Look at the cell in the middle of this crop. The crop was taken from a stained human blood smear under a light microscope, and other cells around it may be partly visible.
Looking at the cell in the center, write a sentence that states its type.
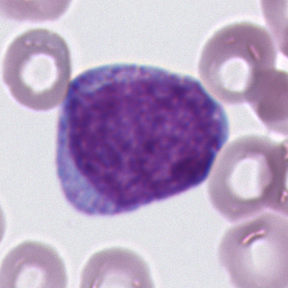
This particular crop is centered on an atypical promyelocyte.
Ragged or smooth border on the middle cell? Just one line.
Smooth outline, no projections: that is the whole story of its edge.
